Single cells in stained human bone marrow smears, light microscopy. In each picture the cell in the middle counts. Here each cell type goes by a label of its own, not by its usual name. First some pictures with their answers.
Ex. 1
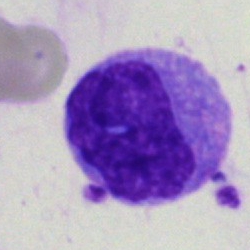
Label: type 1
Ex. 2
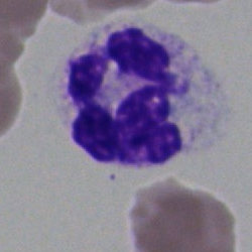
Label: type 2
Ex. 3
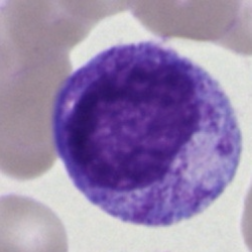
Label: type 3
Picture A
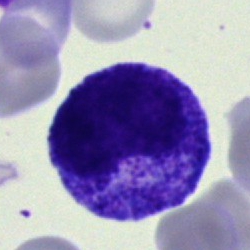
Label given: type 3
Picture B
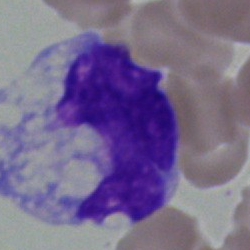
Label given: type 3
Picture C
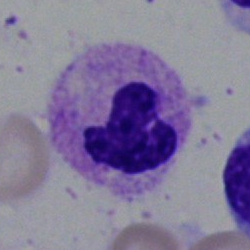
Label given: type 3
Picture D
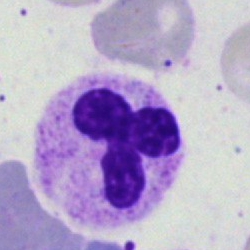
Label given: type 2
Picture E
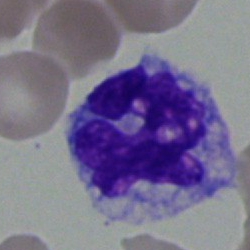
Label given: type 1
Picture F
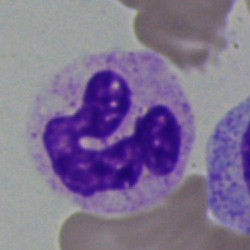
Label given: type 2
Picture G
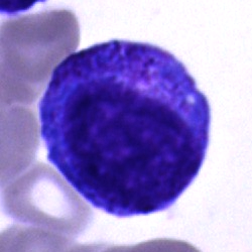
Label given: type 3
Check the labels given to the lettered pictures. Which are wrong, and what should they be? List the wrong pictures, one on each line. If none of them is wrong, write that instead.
B is labelled type 3; correct label: type 1
C is labelled type 3; correct label: type 2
